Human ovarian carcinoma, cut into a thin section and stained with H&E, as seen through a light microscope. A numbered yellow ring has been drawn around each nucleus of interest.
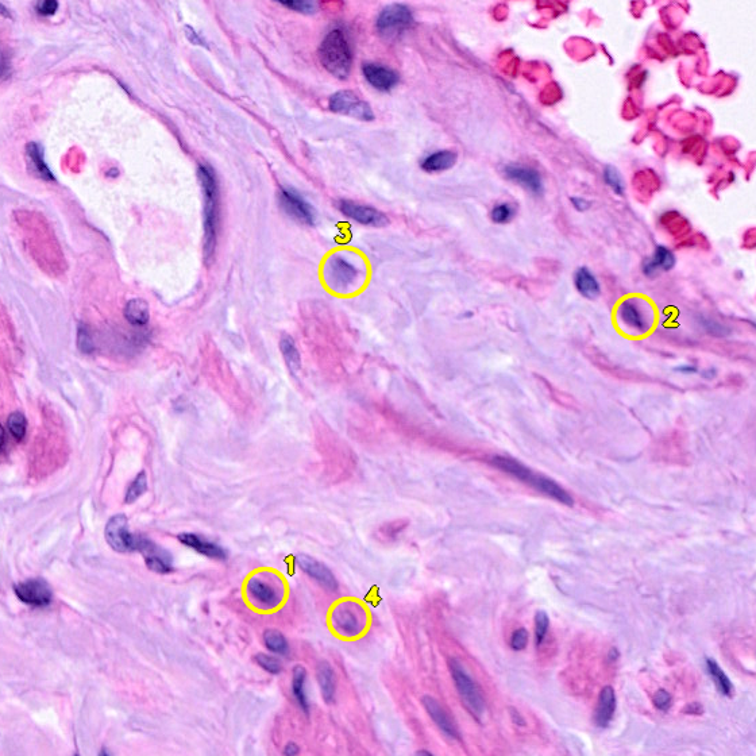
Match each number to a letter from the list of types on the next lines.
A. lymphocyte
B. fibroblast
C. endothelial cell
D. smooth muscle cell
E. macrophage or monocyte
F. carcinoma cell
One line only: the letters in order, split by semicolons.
D; D; B; D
